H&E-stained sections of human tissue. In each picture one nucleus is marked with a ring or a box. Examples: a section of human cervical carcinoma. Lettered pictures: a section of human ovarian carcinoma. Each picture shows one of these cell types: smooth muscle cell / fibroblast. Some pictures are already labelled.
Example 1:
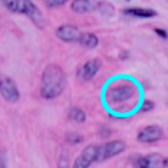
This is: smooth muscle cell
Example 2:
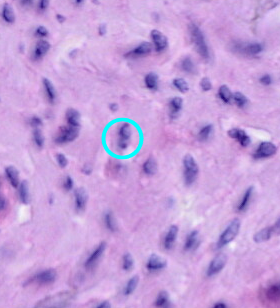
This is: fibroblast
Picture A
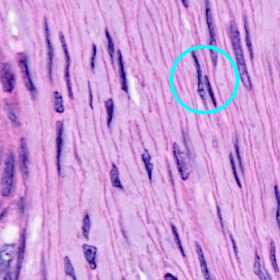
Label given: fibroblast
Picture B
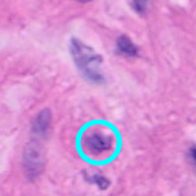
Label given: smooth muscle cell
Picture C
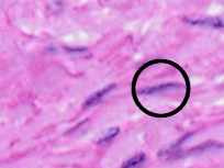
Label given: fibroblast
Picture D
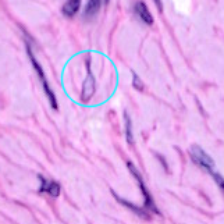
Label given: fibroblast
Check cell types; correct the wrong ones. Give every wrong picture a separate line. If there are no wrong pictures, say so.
All labels are correct.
